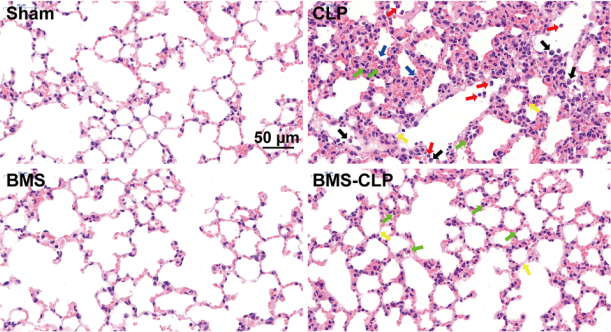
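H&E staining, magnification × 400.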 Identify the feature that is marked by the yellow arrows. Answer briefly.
Hyaline membranes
